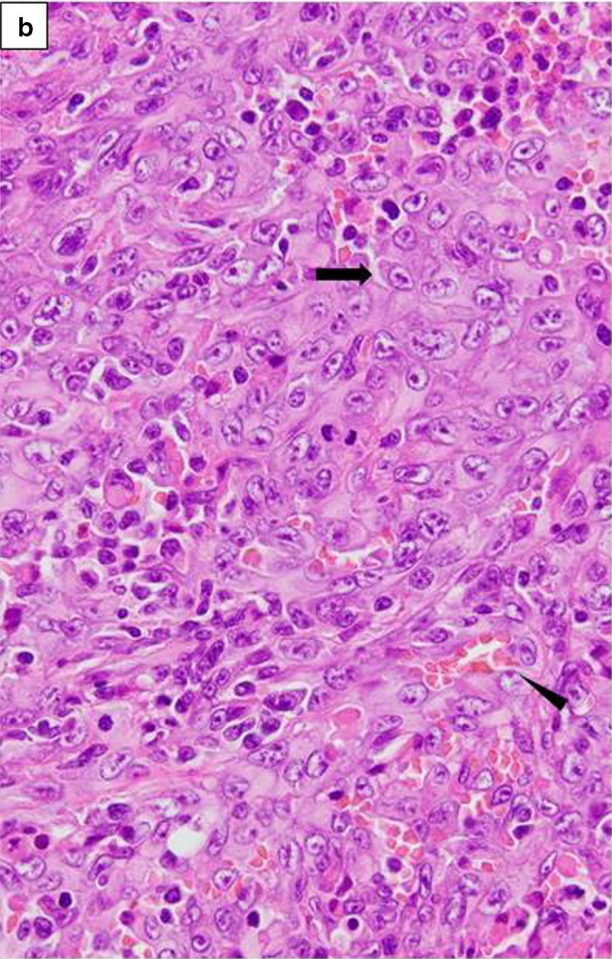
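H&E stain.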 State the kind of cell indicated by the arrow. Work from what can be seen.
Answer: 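Large round and polygonal cells. Large cells with round to polygonal outlines and pink cytoplasm. Cells lie packed in sheets. Nuclei are large and oval with visible nucleoli.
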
